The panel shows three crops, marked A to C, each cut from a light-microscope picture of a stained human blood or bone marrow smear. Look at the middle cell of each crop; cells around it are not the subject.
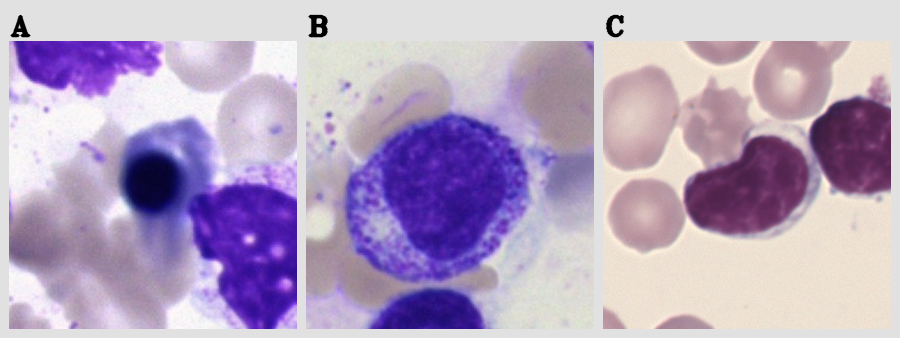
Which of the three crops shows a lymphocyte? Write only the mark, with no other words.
C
